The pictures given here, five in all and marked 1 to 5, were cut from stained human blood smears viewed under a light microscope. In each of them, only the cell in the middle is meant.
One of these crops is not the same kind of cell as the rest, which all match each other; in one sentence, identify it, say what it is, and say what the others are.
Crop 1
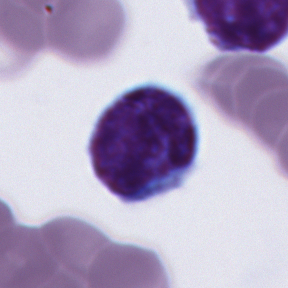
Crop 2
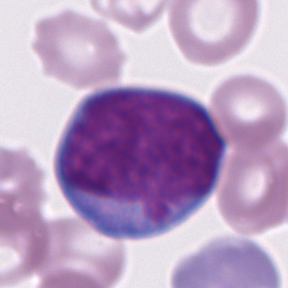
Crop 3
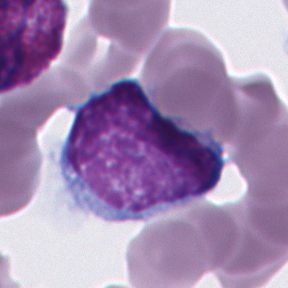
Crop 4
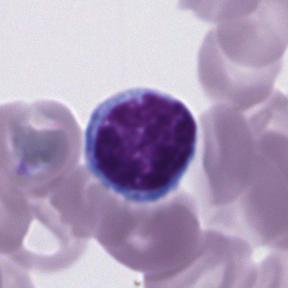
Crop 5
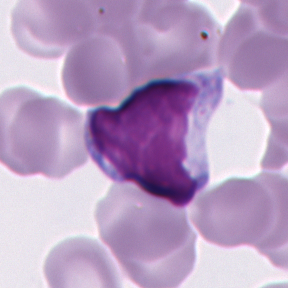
All of the other crops show typical lymphocytes, while crop 2 shows a myeloblast instead.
